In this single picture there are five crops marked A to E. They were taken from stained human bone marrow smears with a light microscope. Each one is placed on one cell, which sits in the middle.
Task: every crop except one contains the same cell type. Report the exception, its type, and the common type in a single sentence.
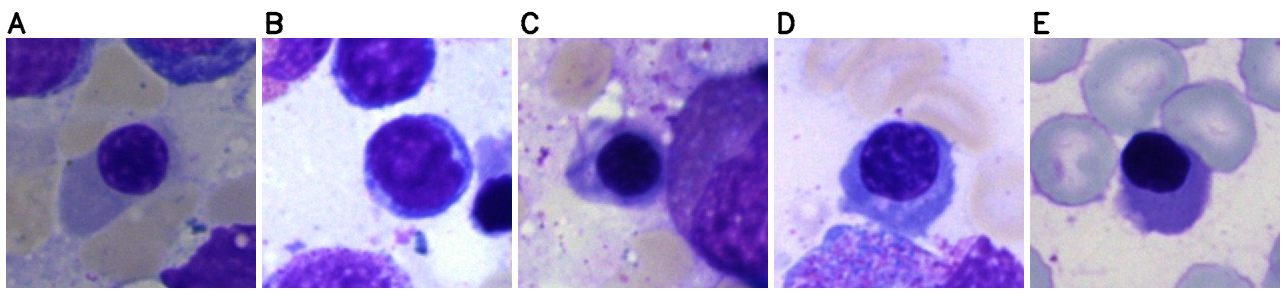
As the exception to the normoblasts in the other crops, crop B shows a lymphocyte.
